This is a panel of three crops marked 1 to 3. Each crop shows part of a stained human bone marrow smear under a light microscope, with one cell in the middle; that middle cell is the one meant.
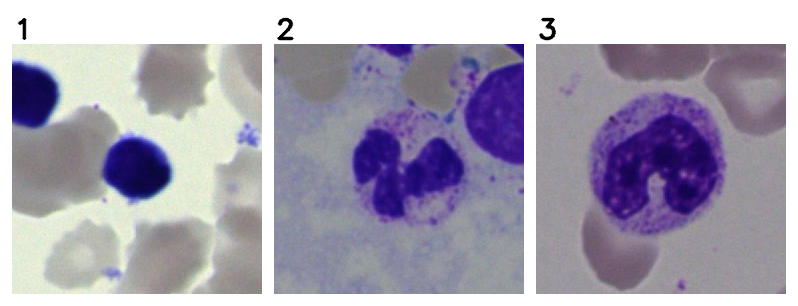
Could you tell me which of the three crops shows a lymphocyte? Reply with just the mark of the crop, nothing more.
1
